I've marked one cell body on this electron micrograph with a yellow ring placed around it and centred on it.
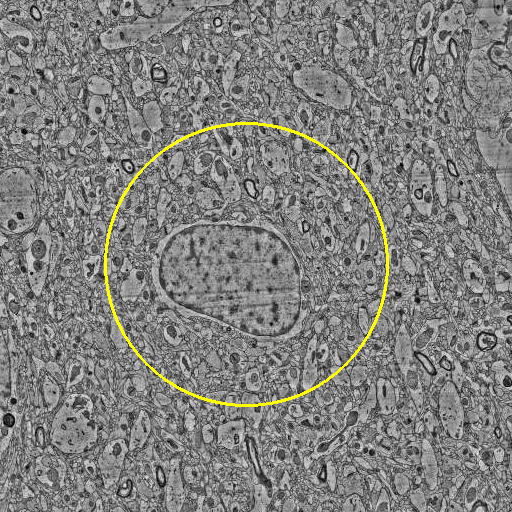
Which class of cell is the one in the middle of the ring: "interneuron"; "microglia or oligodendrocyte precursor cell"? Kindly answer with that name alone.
microglia or oligodendrocyte precursor cell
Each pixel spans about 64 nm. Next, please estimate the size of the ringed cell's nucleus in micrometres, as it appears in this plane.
In this plane the nucleus is about 10 micrometres by 7.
